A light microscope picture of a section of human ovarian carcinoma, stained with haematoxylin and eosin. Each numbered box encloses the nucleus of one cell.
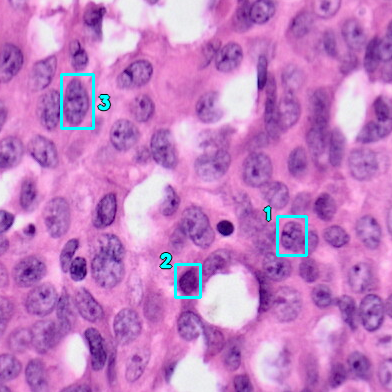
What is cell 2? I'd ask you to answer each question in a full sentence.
Cell 2, as marked in the section, is a carcinoma cell.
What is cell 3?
Classified as a carcinoma cell is the cell with the number 3.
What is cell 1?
The cell that is numbered 1 is a macrophage or monocyte.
